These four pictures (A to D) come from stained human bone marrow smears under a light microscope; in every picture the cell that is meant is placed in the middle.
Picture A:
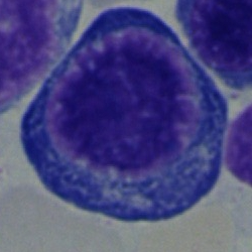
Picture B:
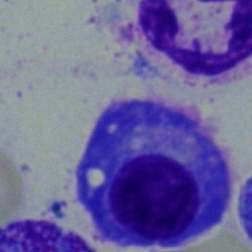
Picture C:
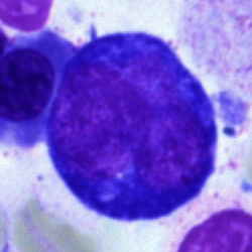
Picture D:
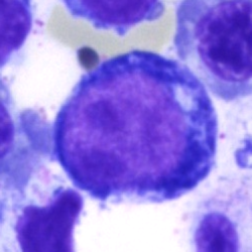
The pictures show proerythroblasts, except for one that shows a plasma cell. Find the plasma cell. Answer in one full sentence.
Picture B is the one that shows the plasma cell.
